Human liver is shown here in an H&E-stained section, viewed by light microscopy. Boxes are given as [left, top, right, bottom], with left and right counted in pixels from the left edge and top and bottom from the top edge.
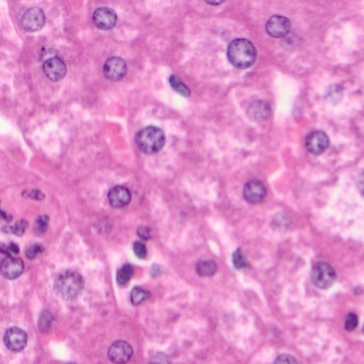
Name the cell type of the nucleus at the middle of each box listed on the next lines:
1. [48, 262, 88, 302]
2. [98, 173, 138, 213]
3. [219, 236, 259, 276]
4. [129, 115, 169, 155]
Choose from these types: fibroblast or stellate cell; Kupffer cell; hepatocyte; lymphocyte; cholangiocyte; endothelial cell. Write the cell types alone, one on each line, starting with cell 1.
hepatocyte
hepatocyte
endothelial cell
hepatocyte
